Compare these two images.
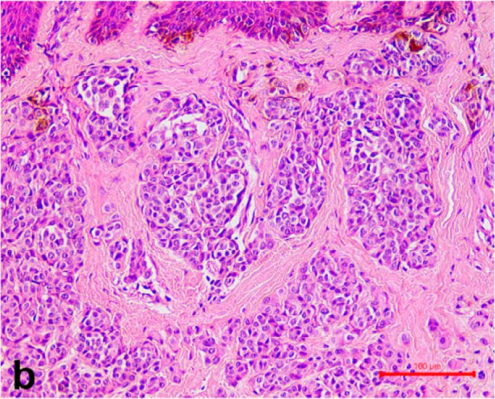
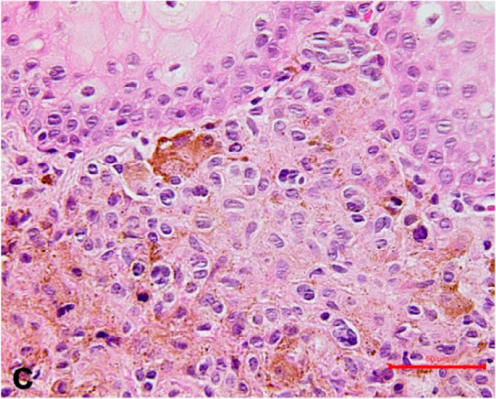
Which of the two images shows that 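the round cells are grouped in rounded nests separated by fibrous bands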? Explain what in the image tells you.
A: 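Second image: the cells lie in a diffuse sheet without fibrous partitions. First image: the cells form rounded clusters bounded by pink collagen bands. That points to this answer: the first image.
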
